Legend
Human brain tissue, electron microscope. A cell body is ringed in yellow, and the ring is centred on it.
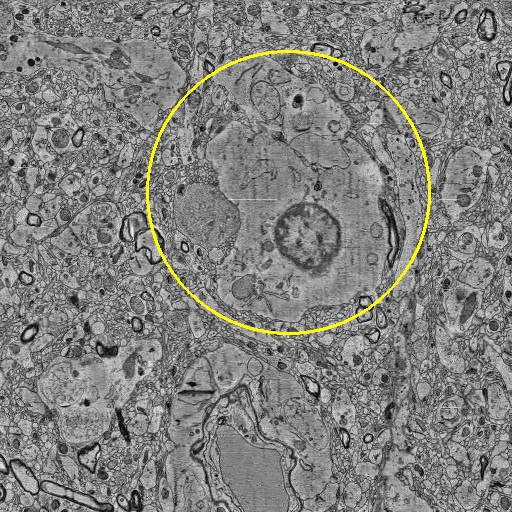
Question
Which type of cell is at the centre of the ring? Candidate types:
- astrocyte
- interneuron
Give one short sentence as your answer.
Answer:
The yellow ring is centred here on an astrocyte.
